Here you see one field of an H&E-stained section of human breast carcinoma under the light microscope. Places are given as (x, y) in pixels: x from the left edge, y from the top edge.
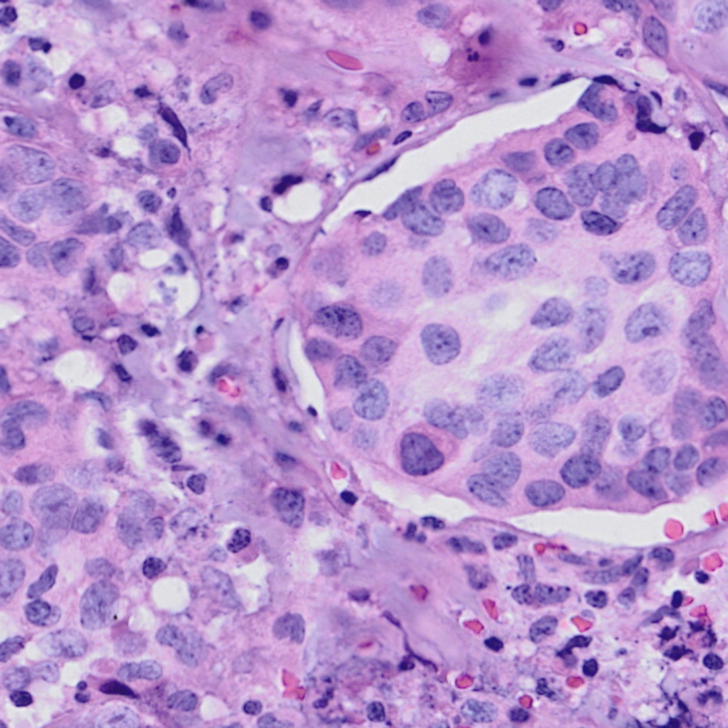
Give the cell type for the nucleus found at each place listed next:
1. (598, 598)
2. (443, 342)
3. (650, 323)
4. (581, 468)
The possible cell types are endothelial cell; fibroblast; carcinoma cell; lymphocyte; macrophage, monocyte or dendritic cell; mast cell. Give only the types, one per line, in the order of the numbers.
lymphocyte
carcinoma cell
carcinoma cell
carcinoma cell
